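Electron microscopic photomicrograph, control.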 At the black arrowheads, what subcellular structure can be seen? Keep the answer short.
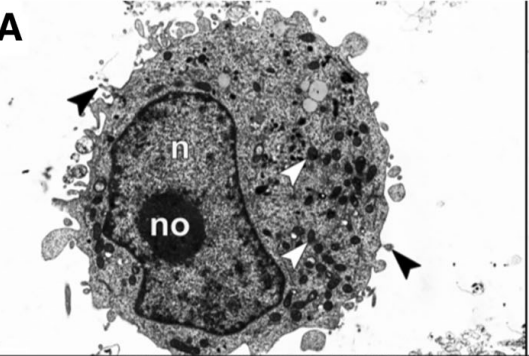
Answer: Short microvilli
